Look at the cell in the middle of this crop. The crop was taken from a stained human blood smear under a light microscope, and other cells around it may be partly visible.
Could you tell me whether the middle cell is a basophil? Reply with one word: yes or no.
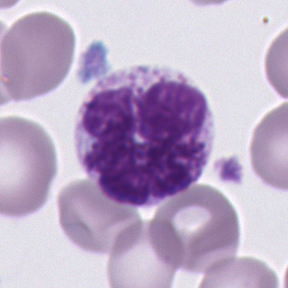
yes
